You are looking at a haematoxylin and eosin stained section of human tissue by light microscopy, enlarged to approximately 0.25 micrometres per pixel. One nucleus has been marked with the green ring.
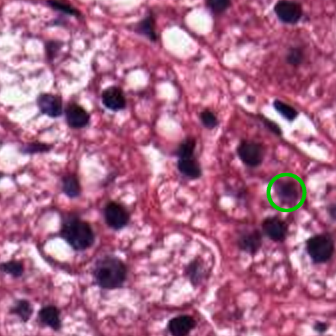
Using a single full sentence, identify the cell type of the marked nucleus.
The marked nucleus is recognized as the nucleus of an adrenal cortical cell.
